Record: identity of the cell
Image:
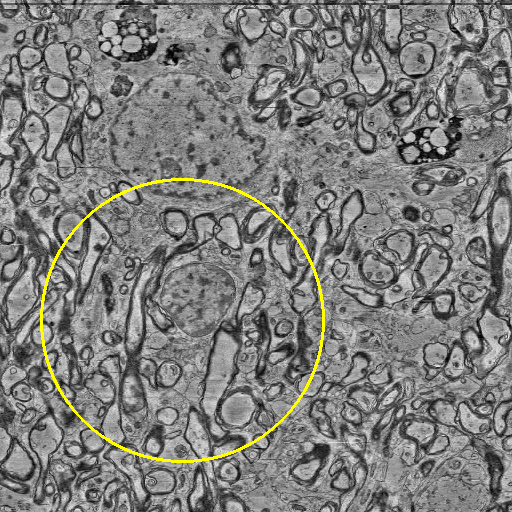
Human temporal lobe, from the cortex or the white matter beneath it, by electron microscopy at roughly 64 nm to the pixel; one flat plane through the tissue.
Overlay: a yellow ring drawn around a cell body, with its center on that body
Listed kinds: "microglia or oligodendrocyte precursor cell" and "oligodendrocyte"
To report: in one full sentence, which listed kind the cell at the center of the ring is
In the image, the cell body at the ring's center belongs to a microglial cell or oligodendrocyte precursor cell.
